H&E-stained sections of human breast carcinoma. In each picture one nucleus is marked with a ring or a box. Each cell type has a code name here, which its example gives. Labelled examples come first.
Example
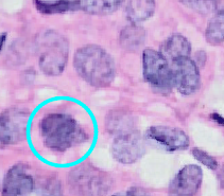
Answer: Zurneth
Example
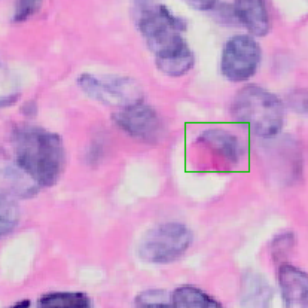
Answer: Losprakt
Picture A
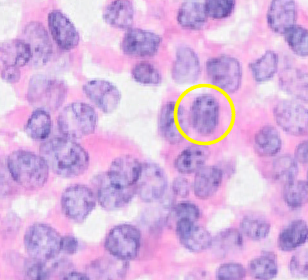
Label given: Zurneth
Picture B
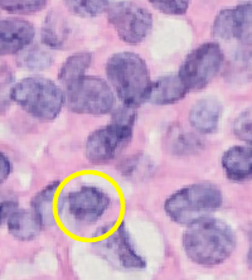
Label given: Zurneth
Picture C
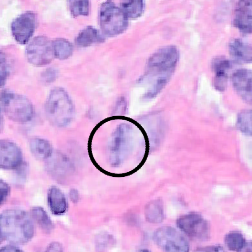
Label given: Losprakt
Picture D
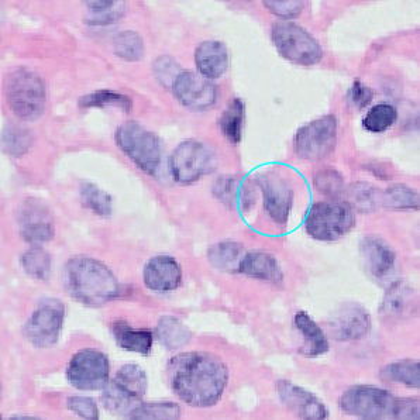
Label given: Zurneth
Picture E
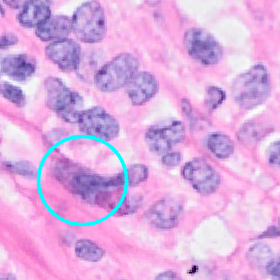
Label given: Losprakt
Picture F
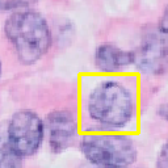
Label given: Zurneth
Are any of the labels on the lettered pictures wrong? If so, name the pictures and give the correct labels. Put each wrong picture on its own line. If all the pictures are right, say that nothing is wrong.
No label is wrong.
